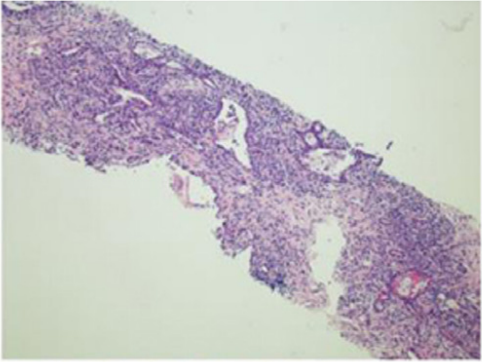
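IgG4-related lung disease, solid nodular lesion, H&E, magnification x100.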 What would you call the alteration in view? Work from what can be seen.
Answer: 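Mixed inflammatory infiltrate and fibrosis. Dense sheets of small dark-blue nuclei fill much of the tissue. Paler pink fibrous stroma lies between the cellular areas. Few open air spaces remain within the tissue strip.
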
